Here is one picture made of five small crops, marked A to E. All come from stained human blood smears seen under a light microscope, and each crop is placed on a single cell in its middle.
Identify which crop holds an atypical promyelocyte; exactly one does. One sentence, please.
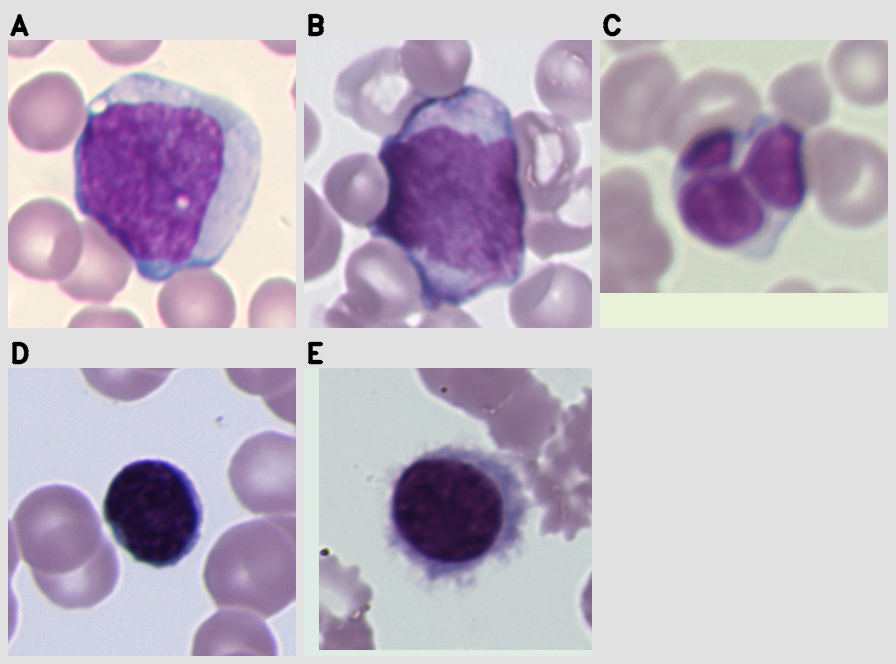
The crop in which an atypical promyelocyte is shown is crop B.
